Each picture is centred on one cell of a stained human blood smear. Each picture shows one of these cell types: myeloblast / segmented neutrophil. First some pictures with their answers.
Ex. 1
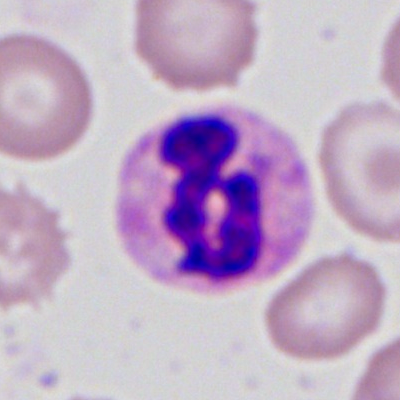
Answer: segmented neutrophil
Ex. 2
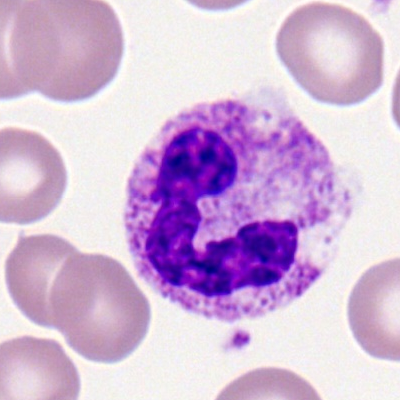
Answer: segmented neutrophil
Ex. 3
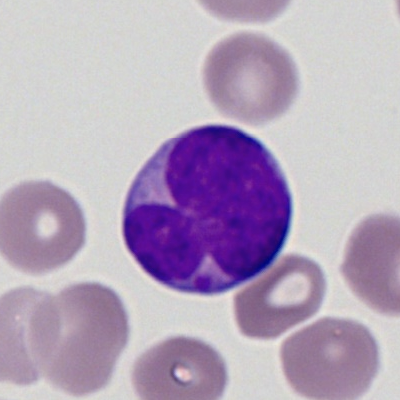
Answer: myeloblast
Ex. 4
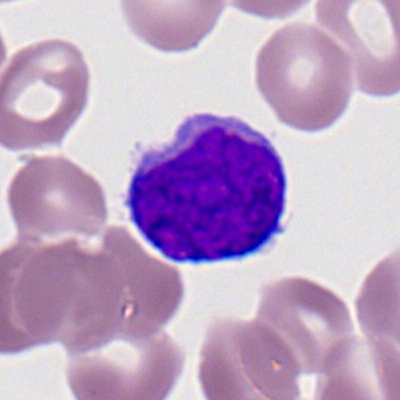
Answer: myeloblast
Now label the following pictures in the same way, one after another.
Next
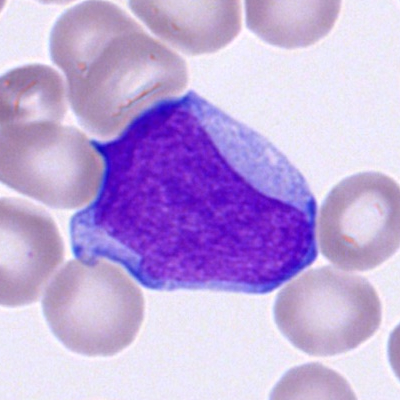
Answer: myeloblast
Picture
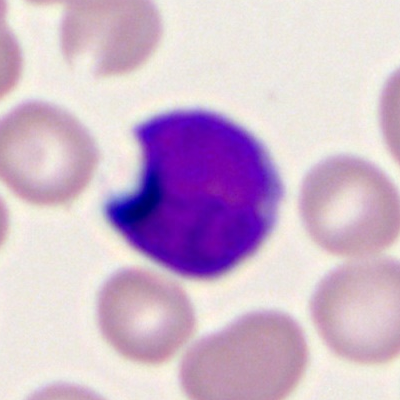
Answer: myeloblast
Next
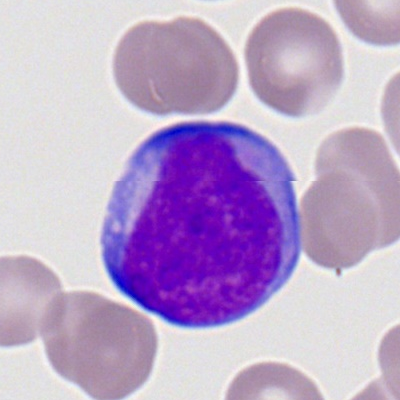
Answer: myeloblast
